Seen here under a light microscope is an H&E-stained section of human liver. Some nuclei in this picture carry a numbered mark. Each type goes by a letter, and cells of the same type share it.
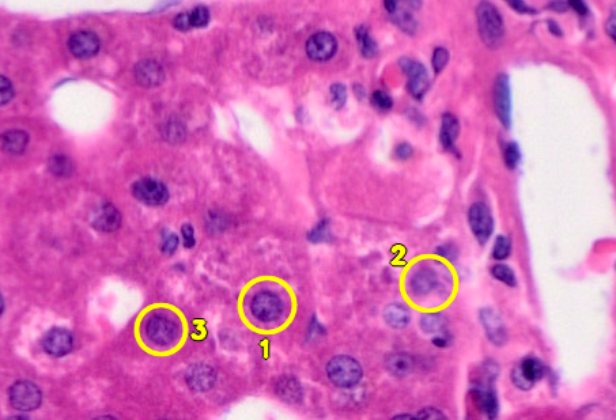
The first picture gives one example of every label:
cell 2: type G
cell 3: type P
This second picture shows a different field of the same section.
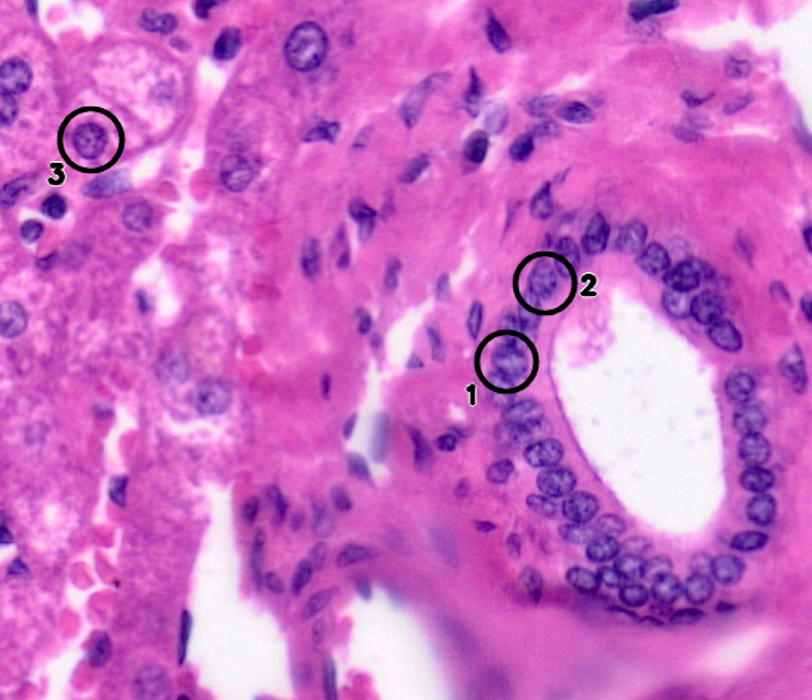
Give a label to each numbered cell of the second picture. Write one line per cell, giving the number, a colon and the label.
1: type G
2: type G
3: type P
